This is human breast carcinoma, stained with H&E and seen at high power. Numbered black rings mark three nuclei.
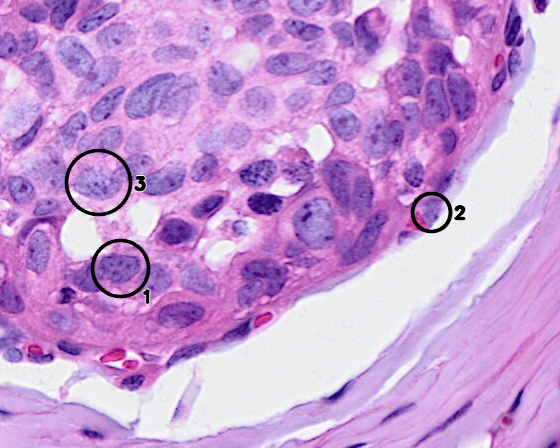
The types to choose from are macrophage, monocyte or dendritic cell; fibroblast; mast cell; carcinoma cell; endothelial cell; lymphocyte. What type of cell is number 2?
endothelial cell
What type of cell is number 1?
carcinoma cell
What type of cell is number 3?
carcinoma cell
